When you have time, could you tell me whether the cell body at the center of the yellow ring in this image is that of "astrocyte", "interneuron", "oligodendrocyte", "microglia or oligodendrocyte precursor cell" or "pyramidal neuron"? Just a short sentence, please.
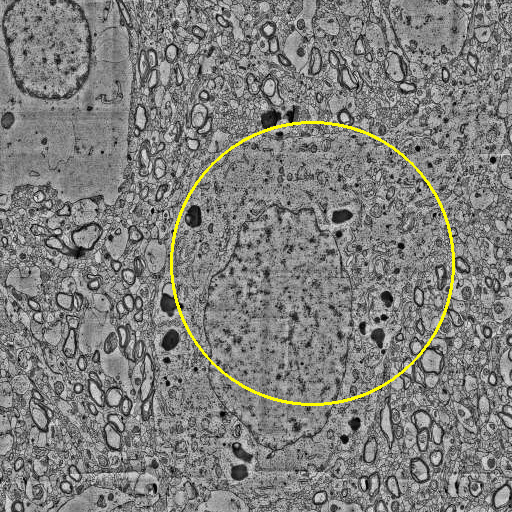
The cell body at the center of the ring is that of a pyramidal neuron.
